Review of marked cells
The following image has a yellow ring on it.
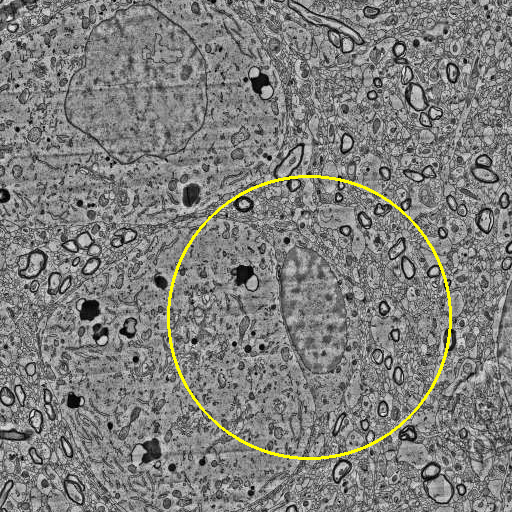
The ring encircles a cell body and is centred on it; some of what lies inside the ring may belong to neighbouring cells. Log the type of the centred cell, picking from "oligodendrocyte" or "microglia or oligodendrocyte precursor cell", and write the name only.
oligodendrocyte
